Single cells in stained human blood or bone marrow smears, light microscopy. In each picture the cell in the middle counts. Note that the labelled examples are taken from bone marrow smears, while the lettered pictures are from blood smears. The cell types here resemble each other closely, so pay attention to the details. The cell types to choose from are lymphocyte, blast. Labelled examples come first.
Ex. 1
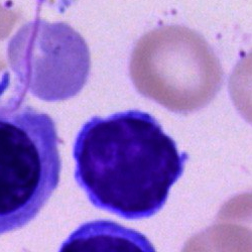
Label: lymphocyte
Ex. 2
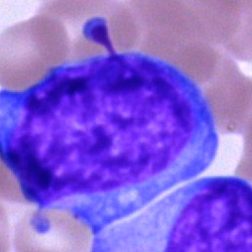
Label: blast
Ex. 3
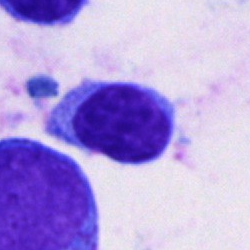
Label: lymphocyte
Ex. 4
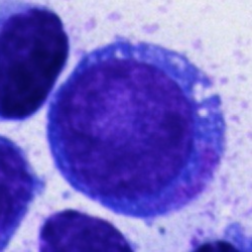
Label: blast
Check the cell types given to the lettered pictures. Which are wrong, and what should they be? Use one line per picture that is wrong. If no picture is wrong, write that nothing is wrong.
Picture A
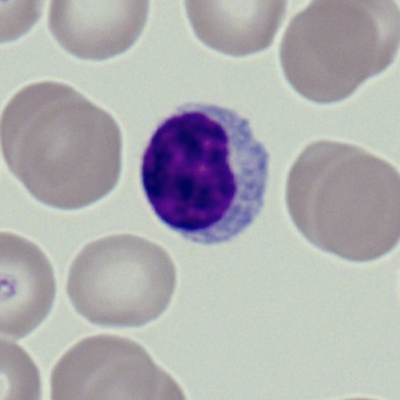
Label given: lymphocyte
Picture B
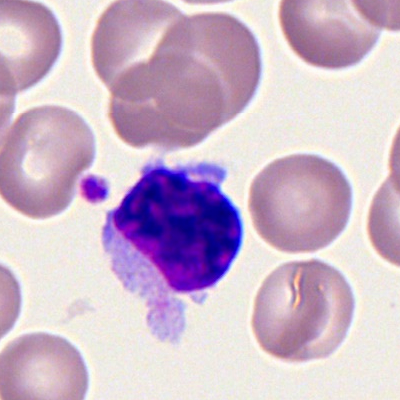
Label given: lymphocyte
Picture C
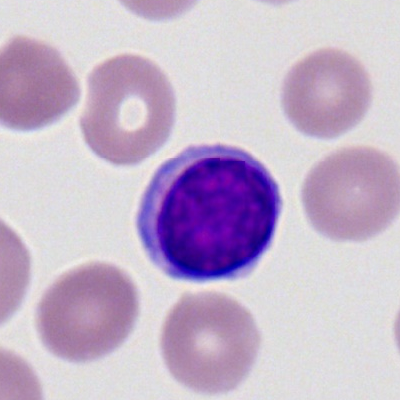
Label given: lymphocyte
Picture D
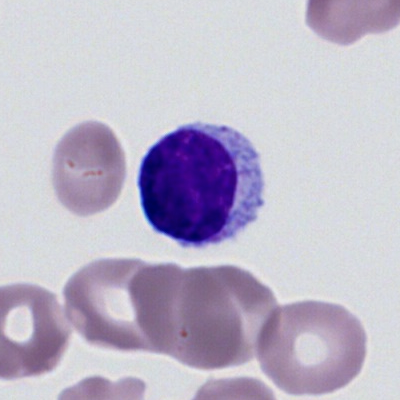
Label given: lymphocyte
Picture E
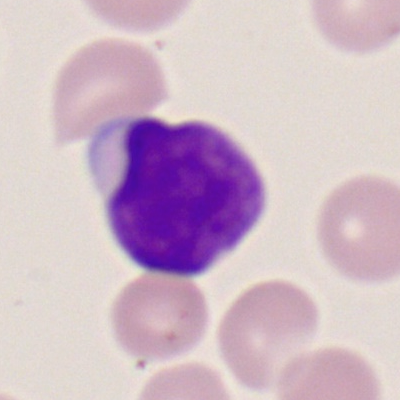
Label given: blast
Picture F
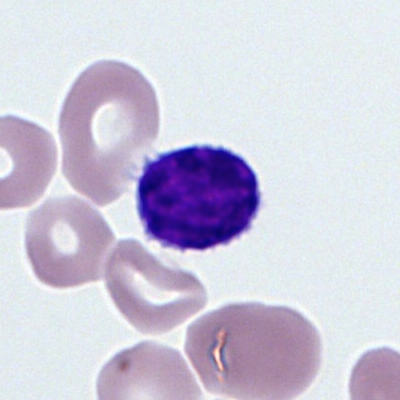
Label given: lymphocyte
Nothing to fix; every label fits.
